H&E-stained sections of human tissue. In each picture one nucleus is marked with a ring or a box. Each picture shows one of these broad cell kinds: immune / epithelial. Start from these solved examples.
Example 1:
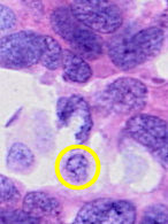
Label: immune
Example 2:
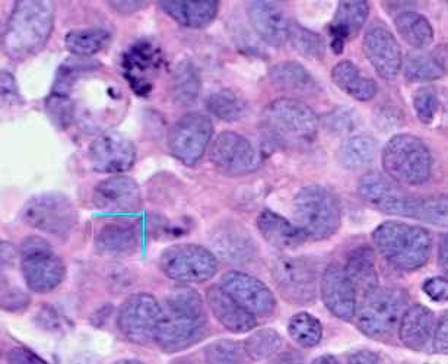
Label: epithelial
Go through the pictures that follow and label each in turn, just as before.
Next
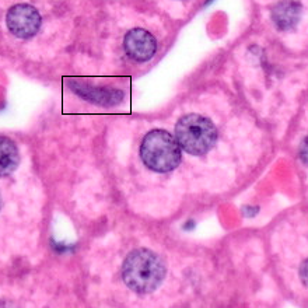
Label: immune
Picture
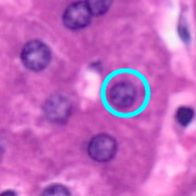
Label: epithelial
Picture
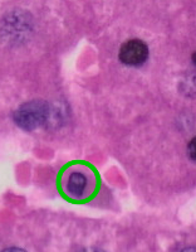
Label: immune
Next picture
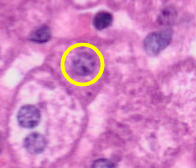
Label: epithelial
